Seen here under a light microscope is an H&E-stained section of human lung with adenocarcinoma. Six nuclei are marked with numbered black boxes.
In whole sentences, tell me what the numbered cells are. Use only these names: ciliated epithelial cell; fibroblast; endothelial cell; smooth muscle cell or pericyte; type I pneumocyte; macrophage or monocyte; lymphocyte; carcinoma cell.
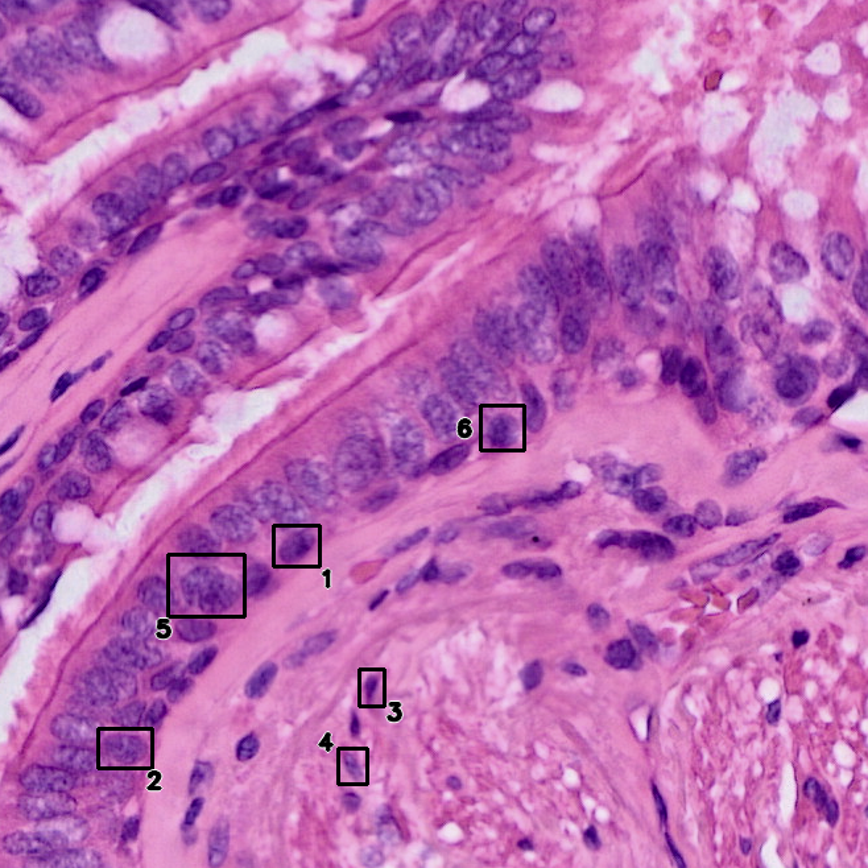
Cell 1 is a ciliated epithelial cell, cell 2 is a ciliated epithelial cell, cell 3 is a smooth muscle cell or pericyte, cell 4 is a smooth muscle cell or pericyte, cell 5 is a ciliated epithelial cell and cell 6 is a ciliated epithelial cell.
